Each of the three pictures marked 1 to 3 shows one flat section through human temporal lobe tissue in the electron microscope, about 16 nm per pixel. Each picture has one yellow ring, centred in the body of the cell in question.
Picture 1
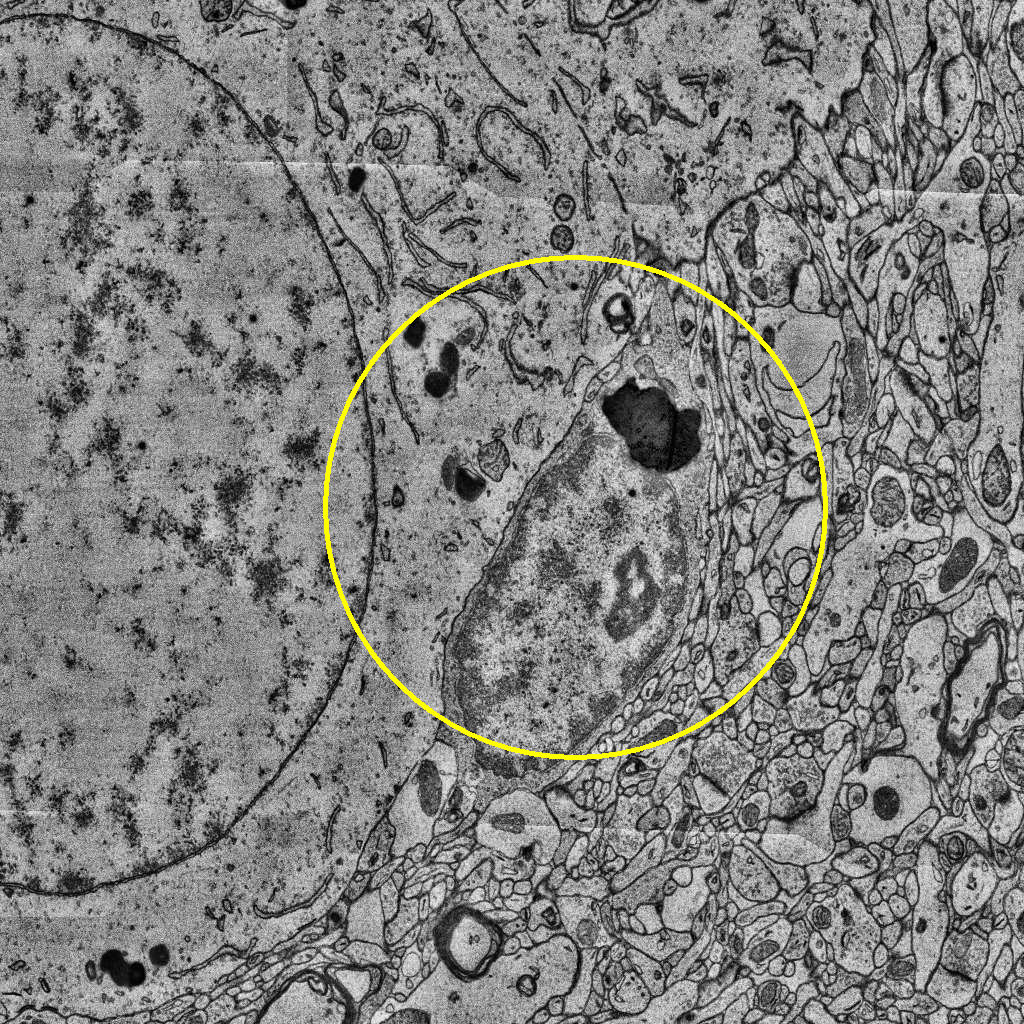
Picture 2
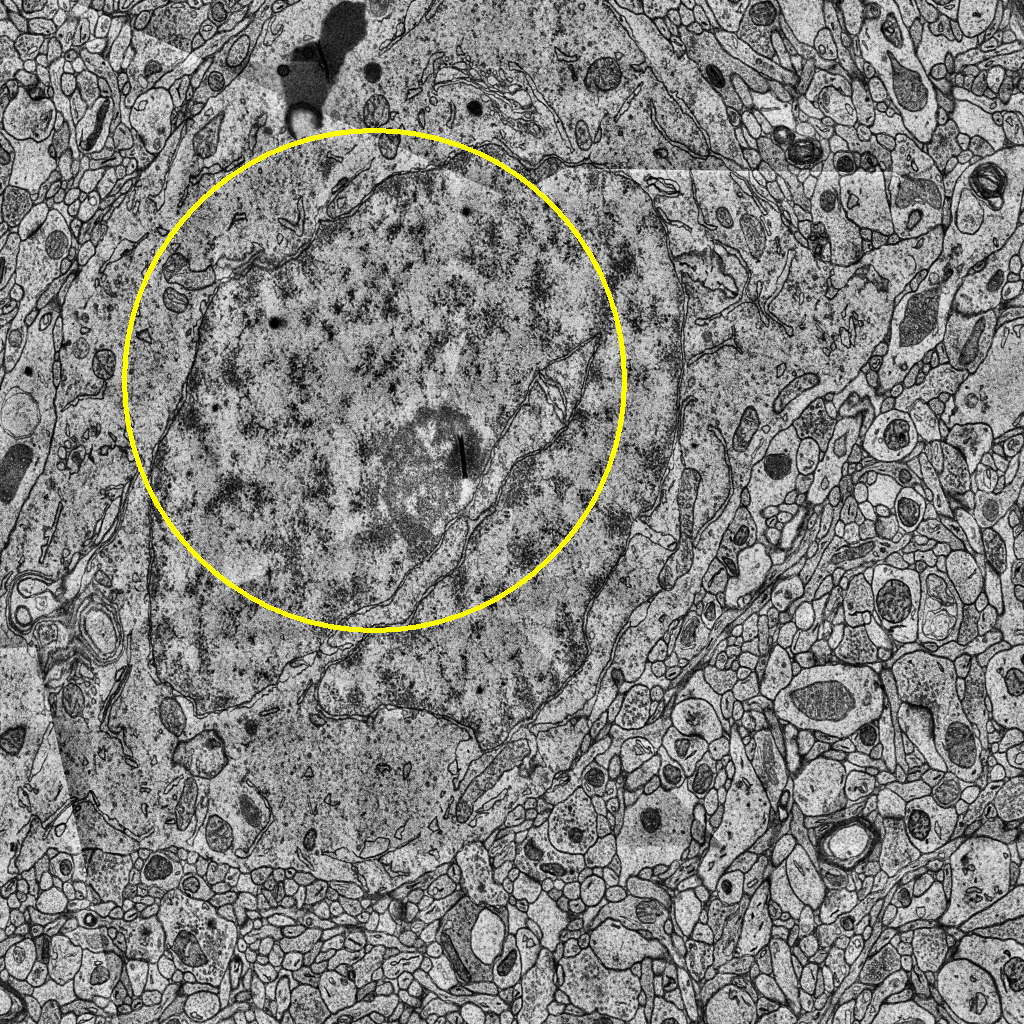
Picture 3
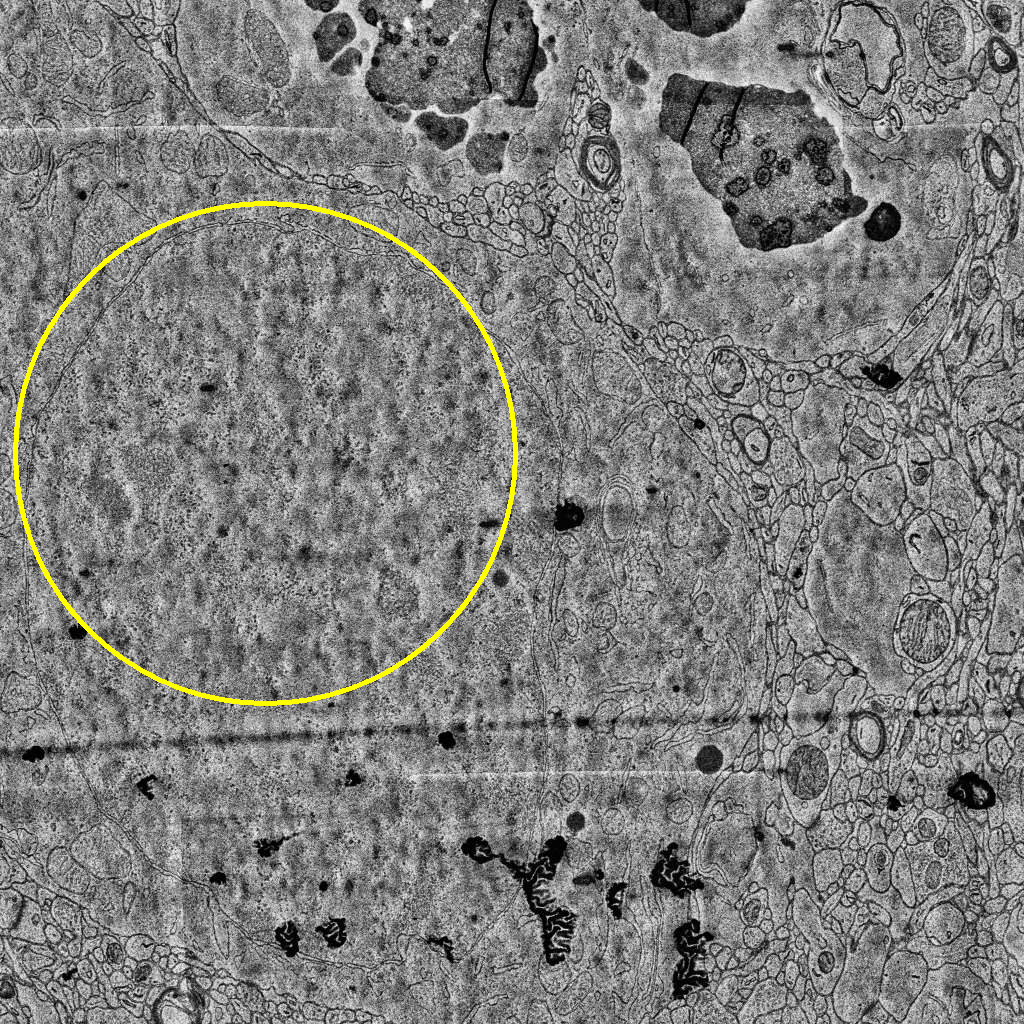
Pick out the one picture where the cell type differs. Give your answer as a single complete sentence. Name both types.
Picture 1 differs, because its cell is an oligodendrocyte and the rest are interneurons.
